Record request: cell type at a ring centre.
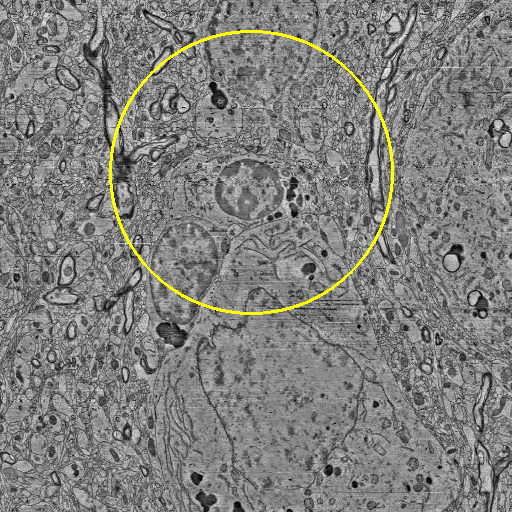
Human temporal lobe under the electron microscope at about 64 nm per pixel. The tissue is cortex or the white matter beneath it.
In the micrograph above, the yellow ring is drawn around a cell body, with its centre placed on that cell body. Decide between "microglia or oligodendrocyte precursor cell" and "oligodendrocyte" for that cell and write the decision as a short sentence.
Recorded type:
The cell centred in the yellow ring is a microglial cell or oligodendrocyte precursor cell.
